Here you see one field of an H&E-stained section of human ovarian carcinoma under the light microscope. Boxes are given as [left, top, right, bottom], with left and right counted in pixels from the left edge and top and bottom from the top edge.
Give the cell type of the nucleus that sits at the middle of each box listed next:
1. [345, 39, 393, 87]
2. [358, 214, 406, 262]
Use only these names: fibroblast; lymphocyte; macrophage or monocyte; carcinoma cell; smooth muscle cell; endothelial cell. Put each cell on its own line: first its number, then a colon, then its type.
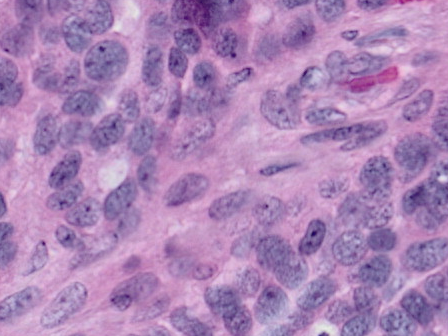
1: endothelial cell
2: carcinoma cell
